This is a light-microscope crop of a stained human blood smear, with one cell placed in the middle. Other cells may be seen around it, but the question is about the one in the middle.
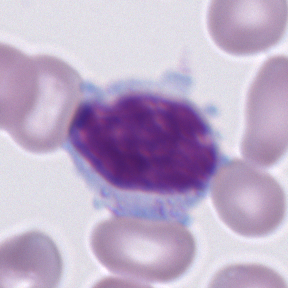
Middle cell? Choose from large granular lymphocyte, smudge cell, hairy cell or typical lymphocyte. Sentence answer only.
The center cell of this crop is a large granular lymphocyte.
